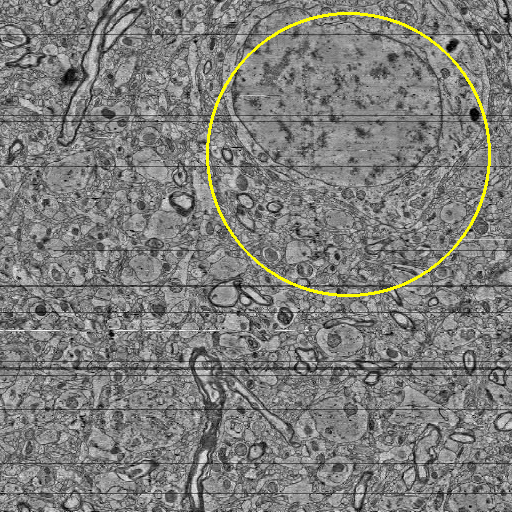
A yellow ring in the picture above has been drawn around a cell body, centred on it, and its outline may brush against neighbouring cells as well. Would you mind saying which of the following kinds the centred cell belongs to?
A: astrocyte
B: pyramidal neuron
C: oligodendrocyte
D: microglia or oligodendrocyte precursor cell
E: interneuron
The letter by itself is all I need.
B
